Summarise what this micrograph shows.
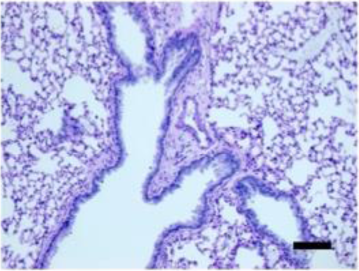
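This lung section shows a branching airway surrounded by a fine meshwork of thin-walled air spaces. The airway is lined by a thin, low epithelium stained pale purple, without magenta material in its cells. The airway lumen is empty and pale. The septa between the surrounding air spaces are delicate and evenly spaced.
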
